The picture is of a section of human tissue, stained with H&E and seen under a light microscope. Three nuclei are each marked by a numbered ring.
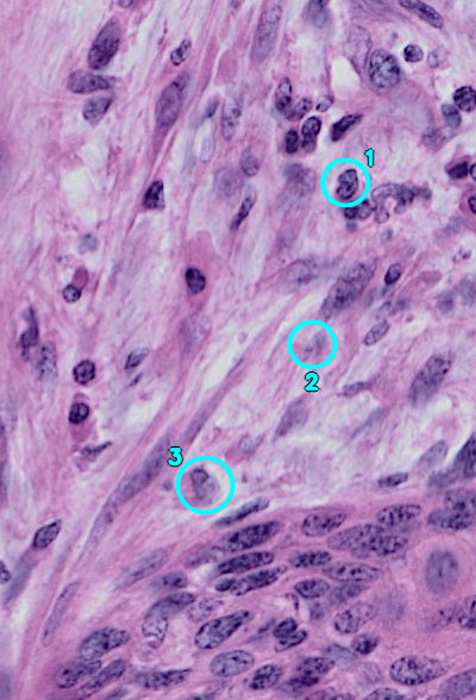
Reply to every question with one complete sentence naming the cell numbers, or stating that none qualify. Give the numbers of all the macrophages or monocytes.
Among the numbered cells, cell 3 alone is a macrophage or monocyte.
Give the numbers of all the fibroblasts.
Cell 2 is a fibroblast, and this holds for no other numbered cell.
